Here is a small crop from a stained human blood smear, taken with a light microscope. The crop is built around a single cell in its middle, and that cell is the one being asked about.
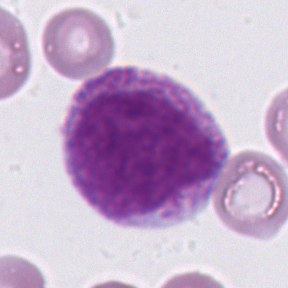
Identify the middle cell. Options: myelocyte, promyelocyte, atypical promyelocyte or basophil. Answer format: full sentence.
The cell at the central position in this crop is a myelocyte.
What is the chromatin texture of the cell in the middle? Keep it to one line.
Its chromatin is finely dispersed rather than coarsely clumped.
